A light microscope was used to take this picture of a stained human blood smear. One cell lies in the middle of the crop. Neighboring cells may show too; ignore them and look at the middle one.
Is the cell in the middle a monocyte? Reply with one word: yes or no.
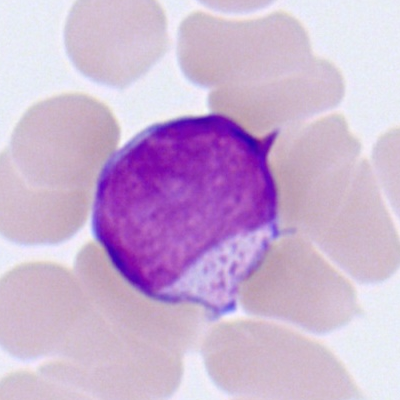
no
